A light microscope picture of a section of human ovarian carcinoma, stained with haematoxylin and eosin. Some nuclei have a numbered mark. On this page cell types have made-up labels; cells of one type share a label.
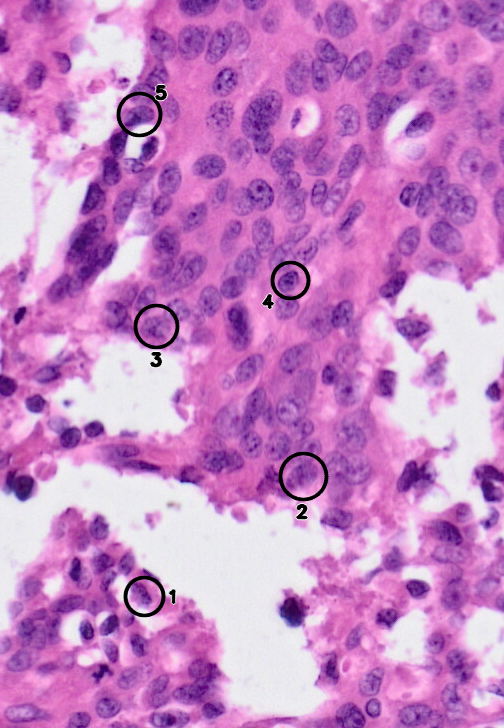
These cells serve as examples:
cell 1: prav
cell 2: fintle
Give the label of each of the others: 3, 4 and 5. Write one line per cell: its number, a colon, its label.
3: fintle
4: prav
5: fintle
